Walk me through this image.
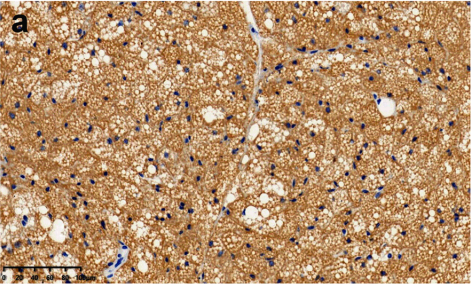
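Brown adipose tissue made of closely packed polygonal adipocytes. Their cytoplasm is filled with many small clear lipid vacuoles, giving a foamy look, and is stained strongly and evenly brown. Round to oval nuclei, stained blue, lie among the vacuoles. A few cells hold one or several larger clear vacuoles. Thin pale septa and a narrow vessel-like strand cross the field and divide the tissue into lobule-like groups. Small elongated blue nuclei sit along these strands.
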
